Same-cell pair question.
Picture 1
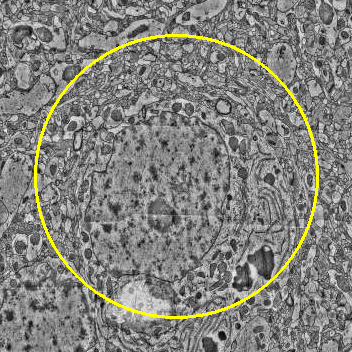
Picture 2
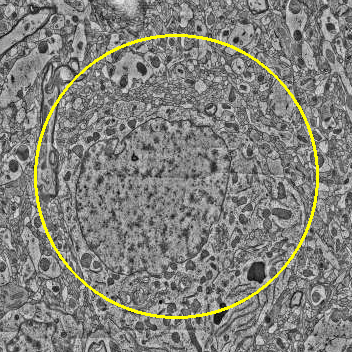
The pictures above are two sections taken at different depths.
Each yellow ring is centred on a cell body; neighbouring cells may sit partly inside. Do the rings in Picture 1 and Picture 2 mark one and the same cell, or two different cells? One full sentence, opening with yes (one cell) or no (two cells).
Yes, one cell appears twice, once in each ring.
